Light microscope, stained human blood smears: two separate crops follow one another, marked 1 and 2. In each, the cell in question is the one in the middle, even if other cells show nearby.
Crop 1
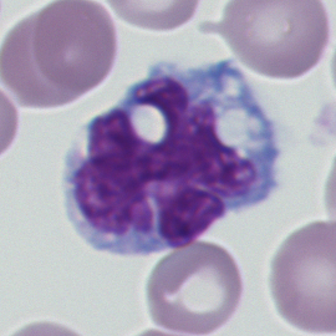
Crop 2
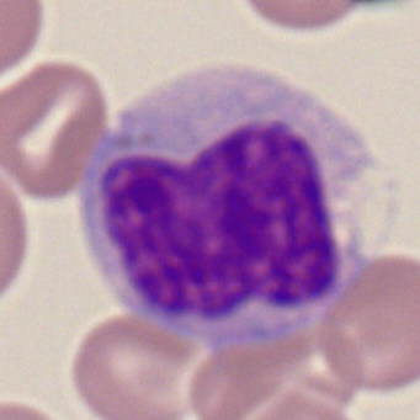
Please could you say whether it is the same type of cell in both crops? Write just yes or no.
yes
